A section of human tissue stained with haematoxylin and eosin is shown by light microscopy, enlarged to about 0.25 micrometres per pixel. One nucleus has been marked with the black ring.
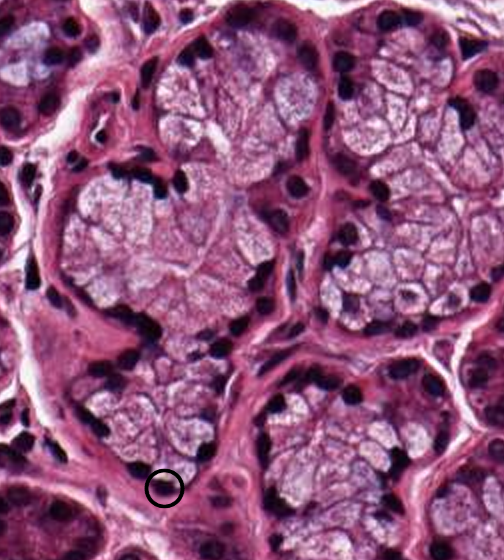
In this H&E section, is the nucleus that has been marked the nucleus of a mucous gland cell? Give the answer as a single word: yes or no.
yes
